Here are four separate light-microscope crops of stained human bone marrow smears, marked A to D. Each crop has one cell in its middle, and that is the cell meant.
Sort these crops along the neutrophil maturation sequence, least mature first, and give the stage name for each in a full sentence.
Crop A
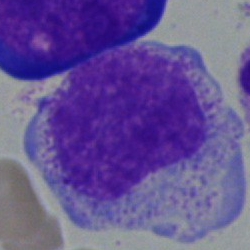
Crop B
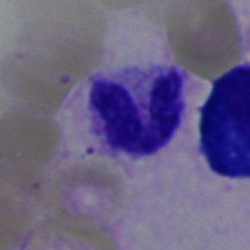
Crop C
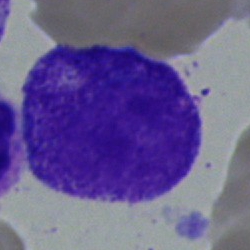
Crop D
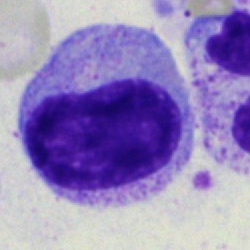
From earliest stage to latest stage, the sequence is crop C (a promyelocyte), crop A (a myelocyte), crop D (a metamyelocyte) and crop B (a band neutrophil).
